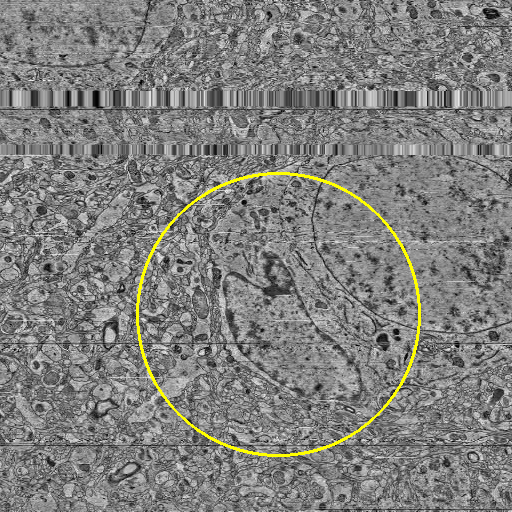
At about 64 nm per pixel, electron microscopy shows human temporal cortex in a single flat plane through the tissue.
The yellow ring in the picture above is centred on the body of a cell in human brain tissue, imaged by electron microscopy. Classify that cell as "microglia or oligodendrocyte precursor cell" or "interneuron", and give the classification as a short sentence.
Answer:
The cell in the middle of the ring is a microglial cell or oligodendrocyte precursor cell.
